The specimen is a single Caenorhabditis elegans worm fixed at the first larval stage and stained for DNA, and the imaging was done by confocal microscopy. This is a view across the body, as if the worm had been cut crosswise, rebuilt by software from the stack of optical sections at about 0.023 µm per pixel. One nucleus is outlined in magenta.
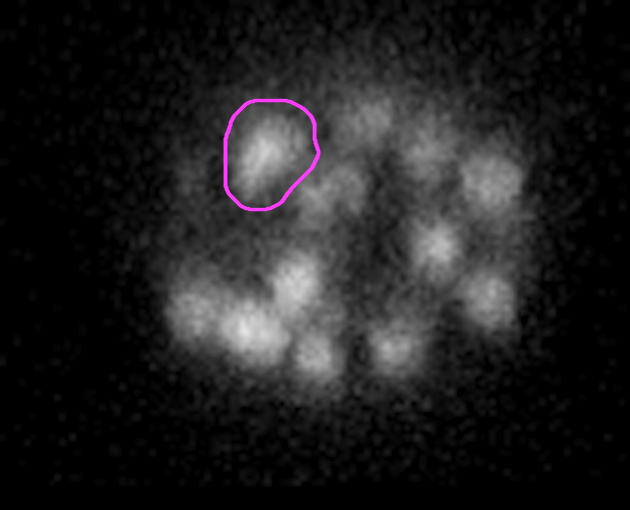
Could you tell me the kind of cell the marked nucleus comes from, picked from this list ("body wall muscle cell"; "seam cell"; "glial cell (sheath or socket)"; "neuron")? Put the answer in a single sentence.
It is the nucleus of a glial cell (sheath or socket).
